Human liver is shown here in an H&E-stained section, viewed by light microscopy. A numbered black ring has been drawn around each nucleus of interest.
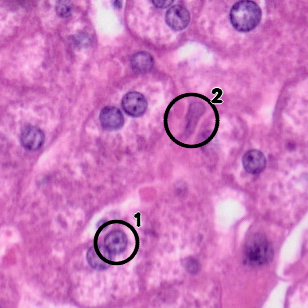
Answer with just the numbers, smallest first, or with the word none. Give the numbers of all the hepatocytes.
1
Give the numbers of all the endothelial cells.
none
